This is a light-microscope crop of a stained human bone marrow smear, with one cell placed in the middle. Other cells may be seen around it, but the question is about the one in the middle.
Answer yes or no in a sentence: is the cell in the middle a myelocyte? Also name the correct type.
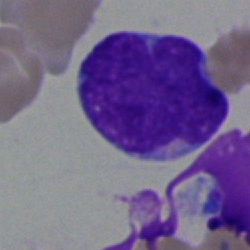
No, mark the middle cell as a blast, not a myelocyte.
